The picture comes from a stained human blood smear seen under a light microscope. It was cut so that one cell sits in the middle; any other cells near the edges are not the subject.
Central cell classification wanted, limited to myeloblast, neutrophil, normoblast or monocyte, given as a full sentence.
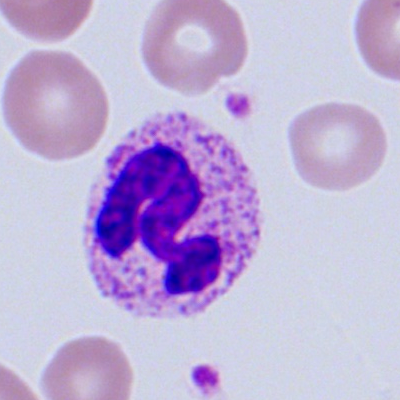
The cell found in the middle of this crop is a neutrophil.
